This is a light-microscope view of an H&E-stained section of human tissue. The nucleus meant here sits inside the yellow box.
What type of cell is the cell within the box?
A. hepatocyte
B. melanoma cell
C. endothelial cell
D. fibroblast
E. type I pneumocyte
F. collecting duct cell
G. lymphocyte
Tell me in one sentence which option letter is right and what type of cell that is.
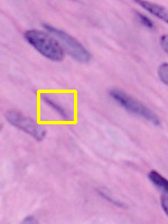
Right answer, option D: the cell within the box is a fibroblast.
